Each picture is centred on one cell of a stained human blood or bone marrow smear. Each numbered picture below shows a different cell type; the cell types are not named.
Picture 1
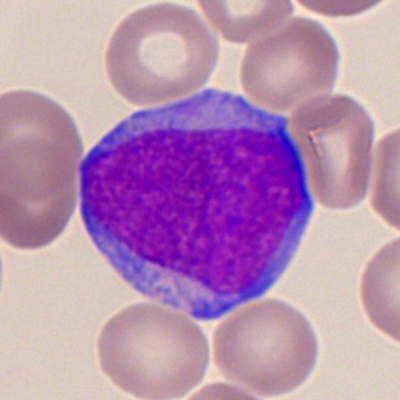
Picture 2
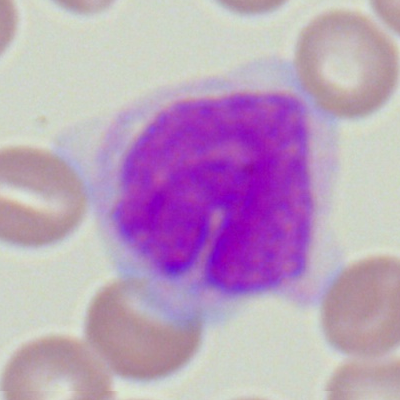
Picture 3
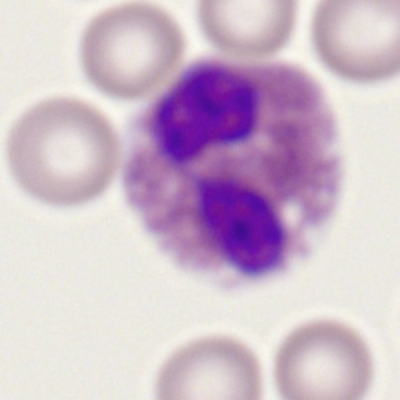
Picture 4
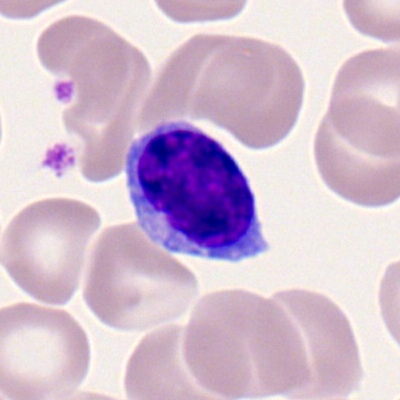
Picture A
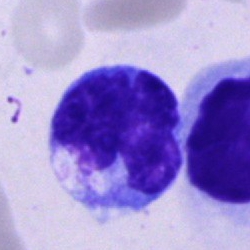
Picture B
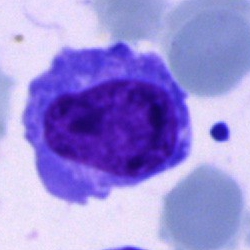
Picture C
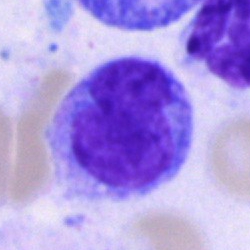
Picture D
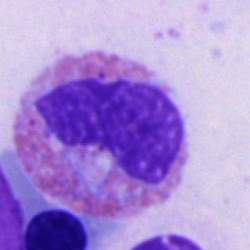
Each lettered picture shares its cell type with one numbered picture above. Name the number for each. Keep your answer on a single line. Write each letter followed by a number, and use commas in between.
A 2, B 1, C 2, D 3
